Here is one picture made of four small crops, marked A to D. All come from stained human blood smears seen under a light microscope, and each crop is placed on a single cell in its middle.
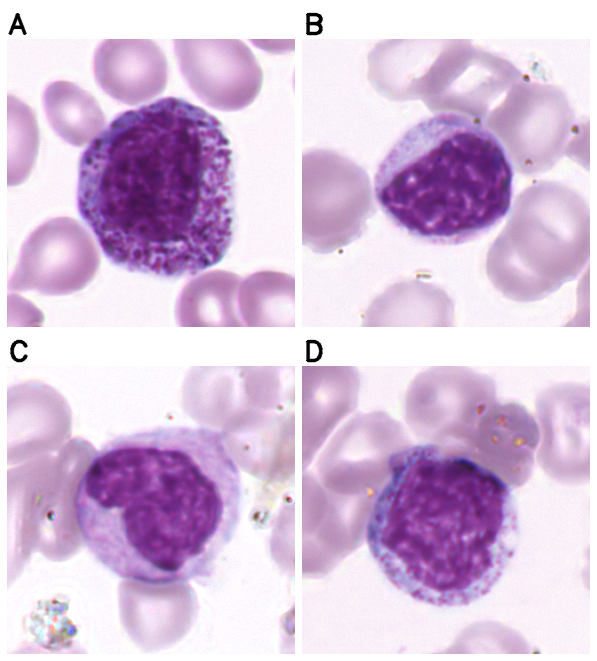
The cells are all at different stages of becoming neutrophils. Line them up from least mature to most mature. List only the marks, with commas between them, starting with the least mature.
A, D, B, C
